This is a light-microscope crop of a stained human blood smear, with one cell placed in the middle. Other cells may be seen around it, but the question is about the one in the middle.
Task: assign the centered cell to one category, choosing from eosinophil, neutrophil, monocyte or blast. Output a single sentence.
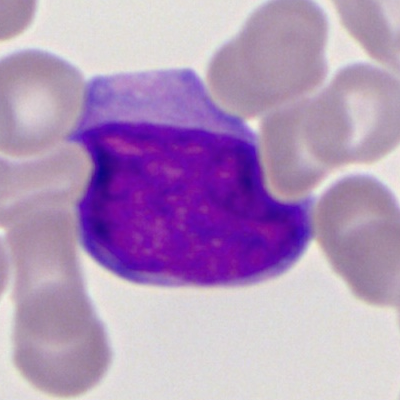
The identification for the central cell is a blast.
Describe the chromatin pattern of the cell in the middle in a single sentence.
Check the chromatin: it is fine and not coarsely clumped.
